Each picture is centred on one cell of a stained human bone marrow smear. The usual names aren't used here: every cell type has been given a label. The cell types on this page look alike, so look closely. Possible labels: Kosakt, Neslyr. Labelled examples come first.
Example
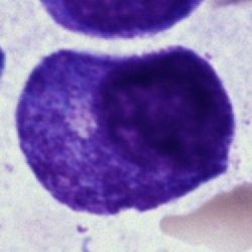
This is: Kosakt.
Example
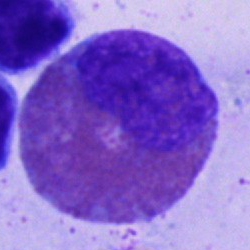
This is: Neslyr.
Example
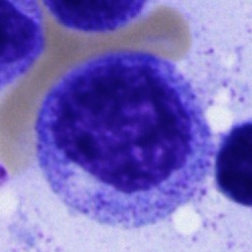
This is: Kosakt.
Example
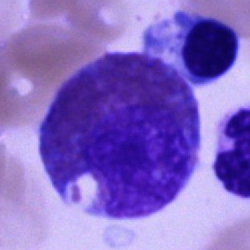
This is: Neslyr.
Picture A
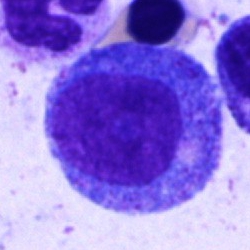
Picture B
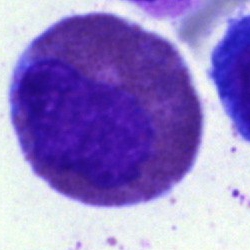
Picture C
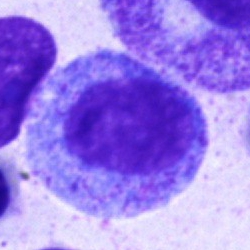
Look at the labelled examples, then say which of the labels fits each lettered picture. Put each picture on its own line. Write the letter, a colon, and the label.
A: Kosakt.
B: Neslyr.
C: Kosakt.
